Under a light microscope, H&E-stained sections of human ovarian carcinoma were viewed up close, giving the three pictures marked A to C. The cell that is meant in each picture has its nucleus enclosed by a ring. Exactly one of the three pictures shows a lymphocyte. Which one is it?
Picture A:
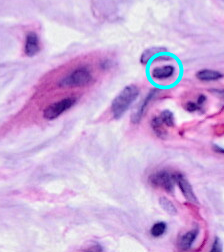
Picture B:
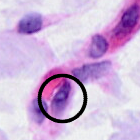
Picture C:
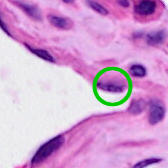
A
